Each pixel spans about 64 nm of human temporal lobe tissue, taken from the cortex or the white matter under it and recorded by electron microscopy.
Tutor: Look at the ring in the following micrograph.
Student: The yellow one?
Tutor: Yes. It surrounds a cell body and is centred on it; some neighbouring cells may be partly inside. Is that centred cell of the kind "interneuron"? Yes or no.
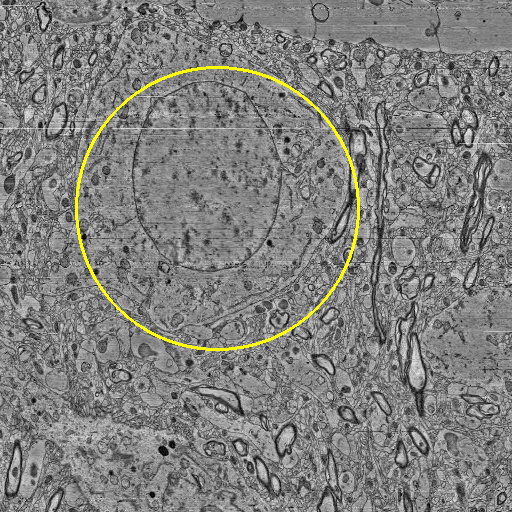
no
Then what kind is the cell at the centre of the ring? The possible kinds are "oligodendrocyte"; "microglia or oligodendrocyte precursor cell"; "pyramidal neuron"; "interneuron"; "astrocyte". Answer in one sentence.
The correct answer is that the cell is a pyramidal neuron.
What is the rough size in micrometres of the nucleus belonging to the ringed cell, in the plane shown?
About 13 by 10 micrometers, in this plane.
